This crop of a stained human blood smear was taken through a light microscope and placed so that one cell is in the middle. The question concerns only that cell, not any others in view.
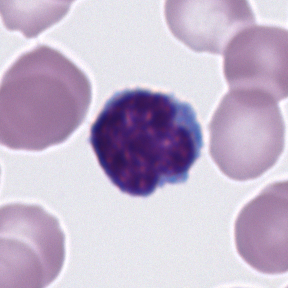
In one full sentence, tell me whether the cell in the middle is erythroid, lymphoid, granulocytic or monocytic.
The middle cell is placed in the lymphoid lineage.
